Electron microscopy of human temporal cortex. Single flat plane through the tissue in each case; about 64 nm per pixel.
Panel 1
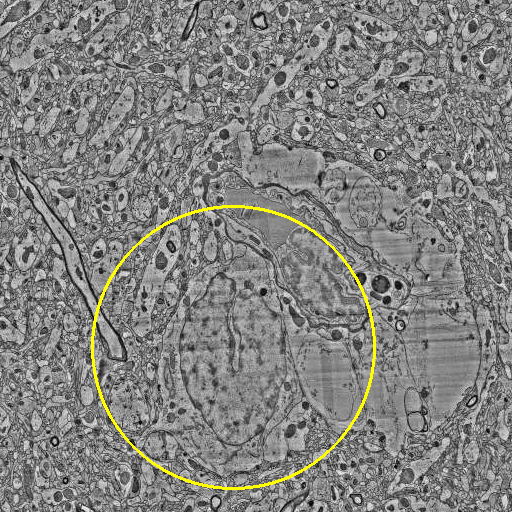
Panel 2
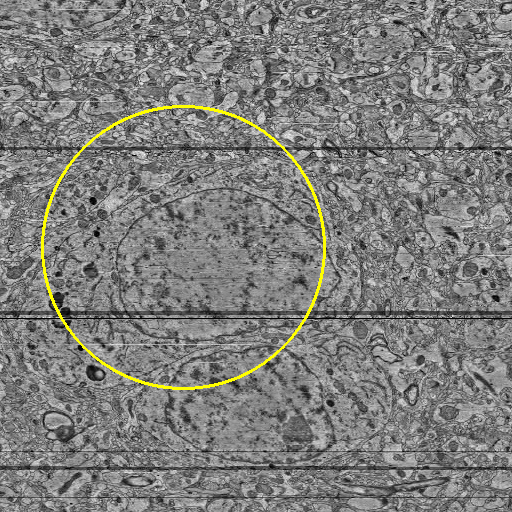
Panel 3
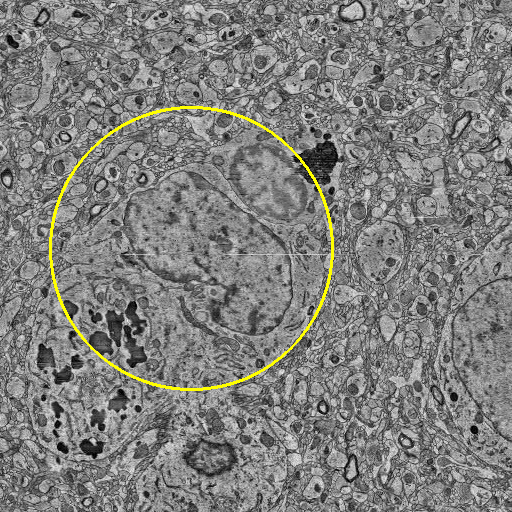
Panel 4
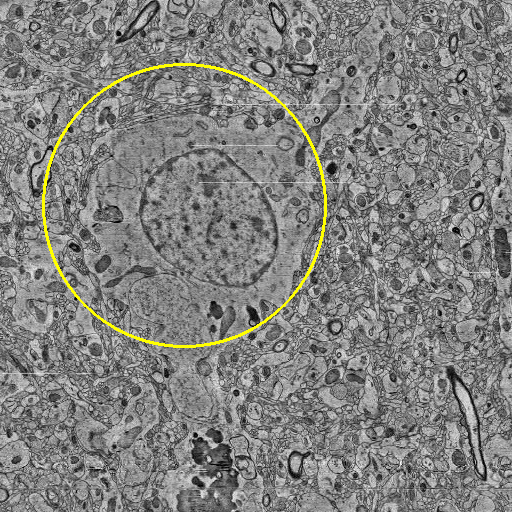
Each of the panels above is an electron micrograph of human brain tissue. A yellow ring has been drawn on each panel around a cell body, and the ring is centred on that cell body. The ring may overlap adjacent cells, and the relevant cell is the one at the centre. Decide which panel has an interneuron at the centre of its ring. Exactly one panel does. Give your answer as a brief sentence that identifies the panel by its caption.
Panel 1 is the one with it at the centre of the ring.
